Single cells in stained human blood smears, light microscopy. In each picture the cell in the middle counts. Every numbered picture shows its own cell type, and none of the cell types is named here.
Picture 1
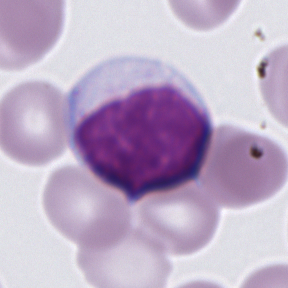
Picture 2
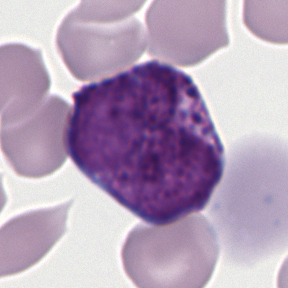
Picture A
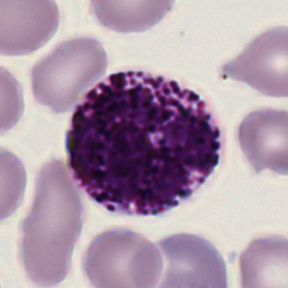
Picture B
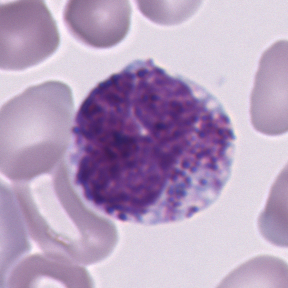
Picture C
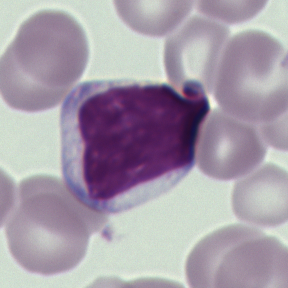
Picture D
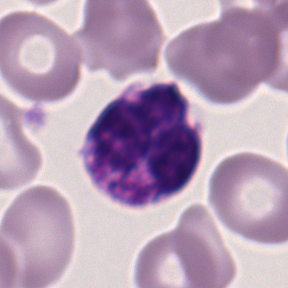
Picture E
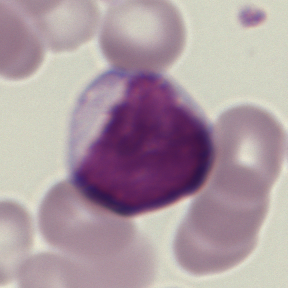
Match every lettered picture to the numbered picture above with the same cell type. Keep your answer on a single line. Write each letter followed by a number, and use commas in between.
A 2, B 2, C 1, D 2, E 1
